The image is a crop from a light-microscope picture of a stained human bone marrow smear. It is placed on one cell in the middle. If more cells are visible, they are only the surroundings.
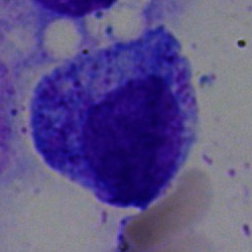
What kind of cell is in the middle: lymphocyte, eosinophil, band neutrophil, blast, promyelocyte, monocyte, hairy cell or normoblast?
promyelocyte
